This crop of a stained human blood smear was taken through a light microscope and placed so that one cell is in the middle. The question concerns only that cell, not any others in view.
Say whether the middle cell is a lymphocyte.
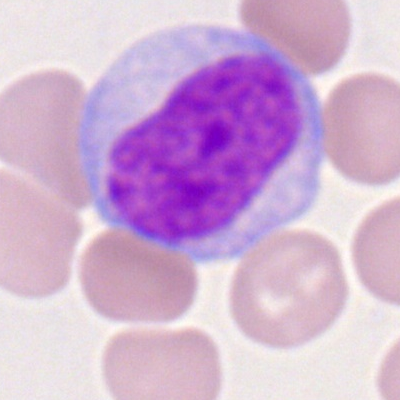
no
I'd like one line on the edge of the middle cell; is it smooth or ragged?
In short, the margin is smooth with no projections at all.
